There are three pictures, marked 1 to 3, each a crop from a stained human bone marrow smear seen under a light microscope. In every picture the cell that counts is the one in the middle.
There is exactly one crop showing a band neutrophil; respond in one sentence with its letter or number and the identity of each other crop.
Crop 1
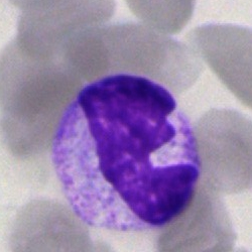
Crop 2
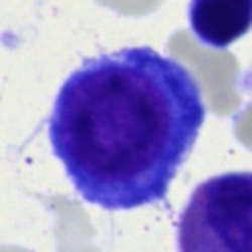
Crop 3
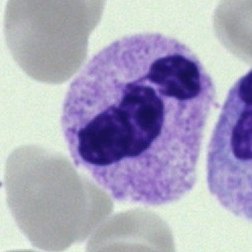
The labels are: crop 1 is a band neutrophil, and crop 2 is a proerythroblast and crop 3 is a segmented neutrophil.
